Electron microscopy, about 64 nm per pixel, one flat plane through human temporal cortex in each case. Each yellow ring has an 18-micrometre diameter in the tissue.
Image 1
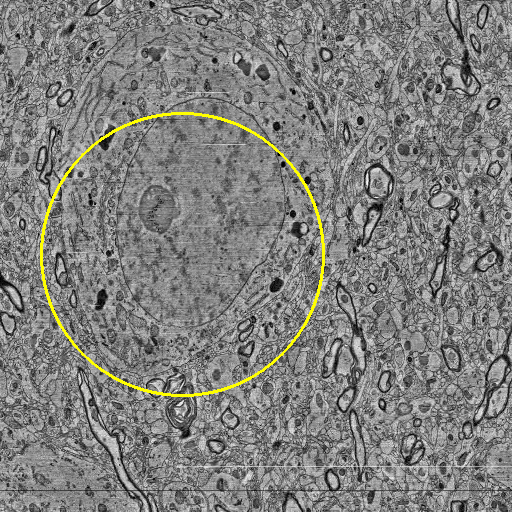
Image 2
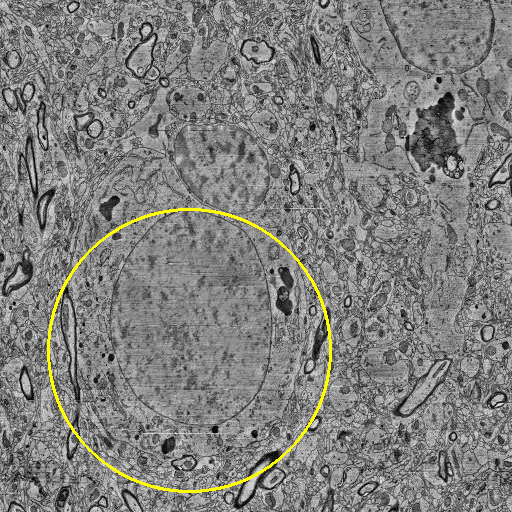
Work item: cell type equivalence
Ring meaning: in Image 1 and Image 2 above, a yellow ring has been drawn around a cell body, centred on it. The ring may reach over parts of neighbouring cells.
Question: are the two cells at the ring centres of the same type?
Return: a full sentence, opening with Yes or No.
Yes, the two centred cells are of the same type.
